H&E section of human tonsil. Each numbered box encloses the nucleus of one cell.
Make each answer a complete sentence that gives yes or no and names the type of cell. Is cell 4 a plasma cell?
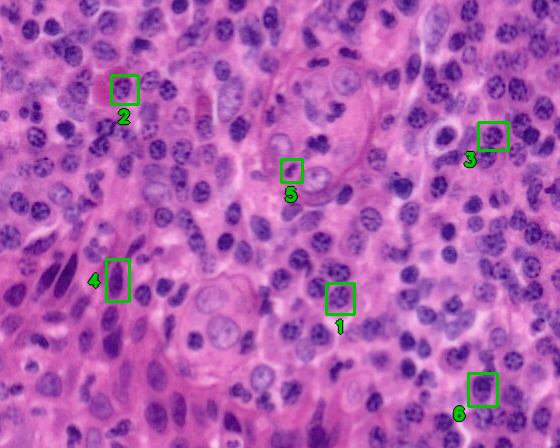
No, cell 4 does not represent a plasma cell; it represents a squamous epithelial cell.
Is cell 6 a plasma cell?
Yes, cell number 6 is classified as a plasma cell.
